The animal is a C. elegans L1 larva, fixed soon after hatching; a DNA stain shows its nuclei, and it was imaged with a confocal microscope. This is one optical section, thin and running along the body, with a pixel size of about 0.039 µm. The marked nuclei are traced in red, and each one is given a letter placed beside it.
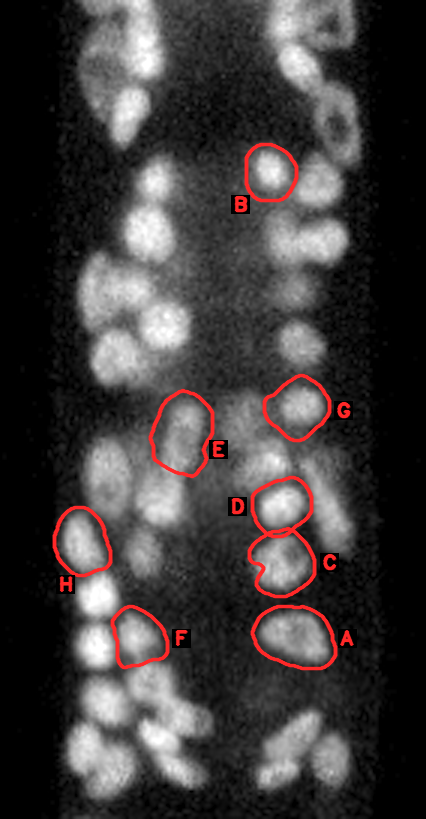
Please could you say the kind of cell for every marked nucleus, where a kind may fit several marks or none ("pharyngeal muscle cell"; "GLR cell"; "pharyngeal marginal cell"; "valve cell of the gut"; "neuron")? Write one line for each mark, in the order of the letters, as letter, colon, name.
A: pharyngeal muscle cell
B: GLR cell
C: pharyngeal muscle cell
D: neuron
E: pharyngeal marginal cell
F: pharyngeal marginal cell
G: neuron
H: neuron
